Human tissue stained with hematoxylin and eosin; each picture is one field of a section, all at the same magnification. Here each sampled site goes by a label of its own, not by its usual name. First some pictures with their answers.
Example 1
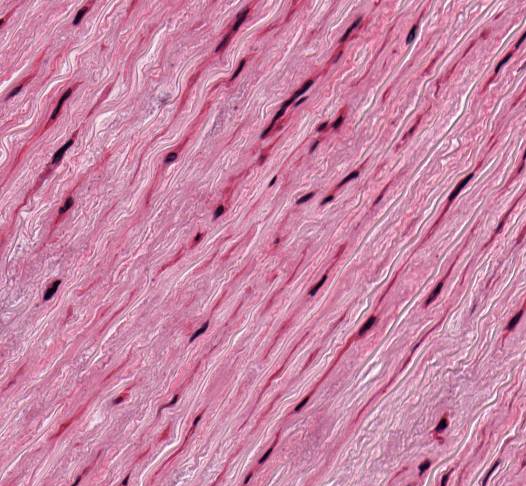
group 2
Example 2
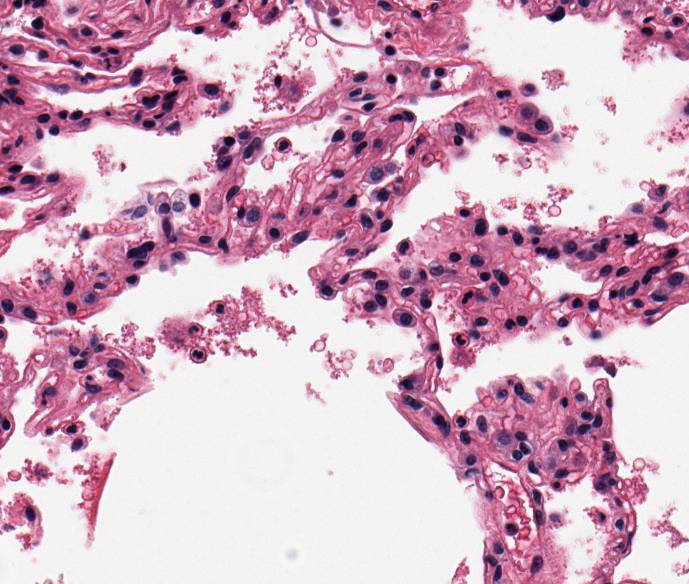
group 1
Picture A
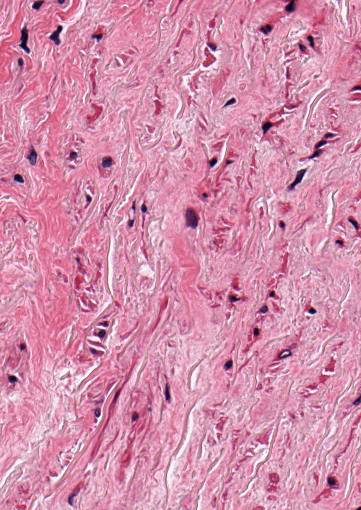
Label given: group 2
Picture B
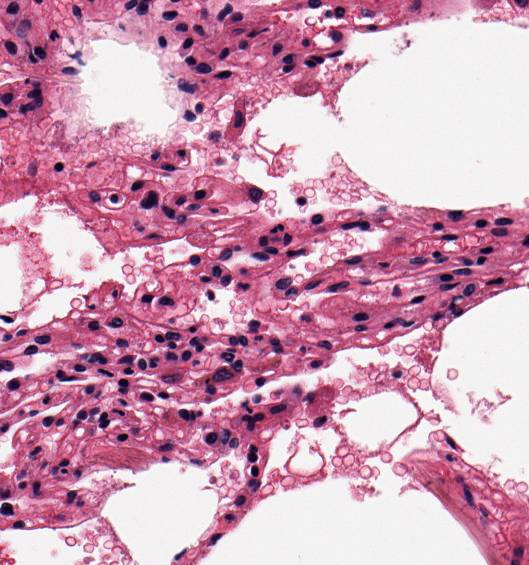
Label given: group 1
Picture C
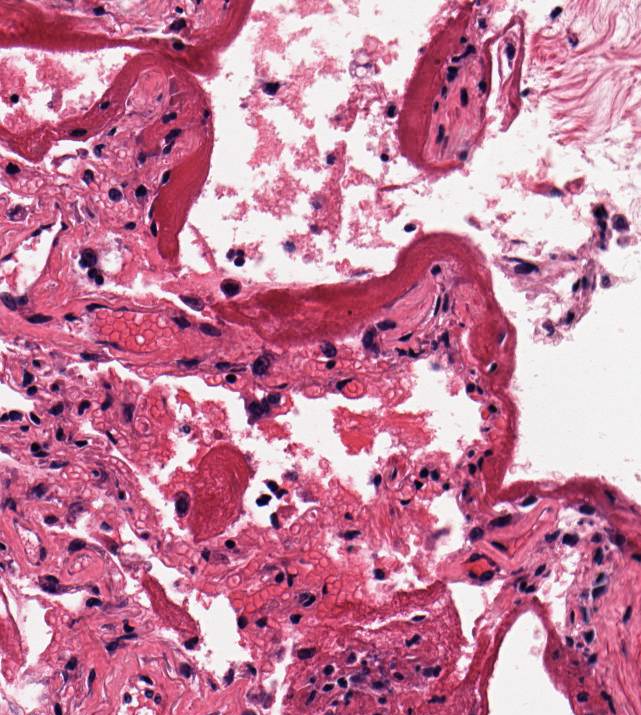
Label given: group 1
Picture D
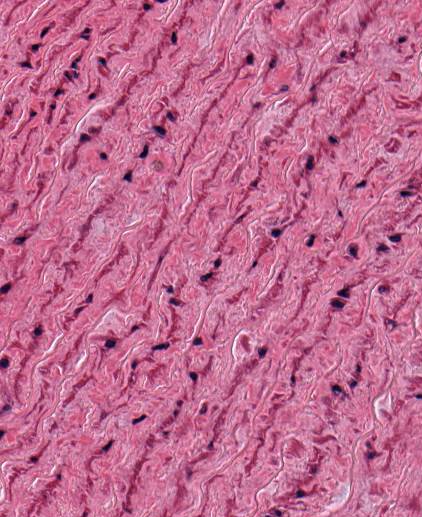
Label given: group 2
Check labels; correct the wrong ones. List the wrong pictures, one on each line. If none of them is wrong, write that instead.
All correct.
